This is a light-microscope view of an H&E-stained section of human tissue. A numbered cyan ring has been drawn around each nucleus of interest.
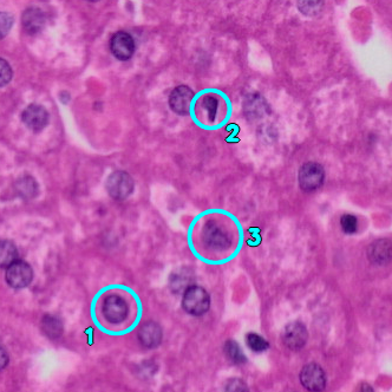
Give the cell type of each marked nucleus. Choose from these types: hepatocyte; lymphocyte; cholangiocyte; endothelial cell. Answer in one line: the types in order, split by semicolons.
hepatocyte; endothelial cell; endothelial cell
